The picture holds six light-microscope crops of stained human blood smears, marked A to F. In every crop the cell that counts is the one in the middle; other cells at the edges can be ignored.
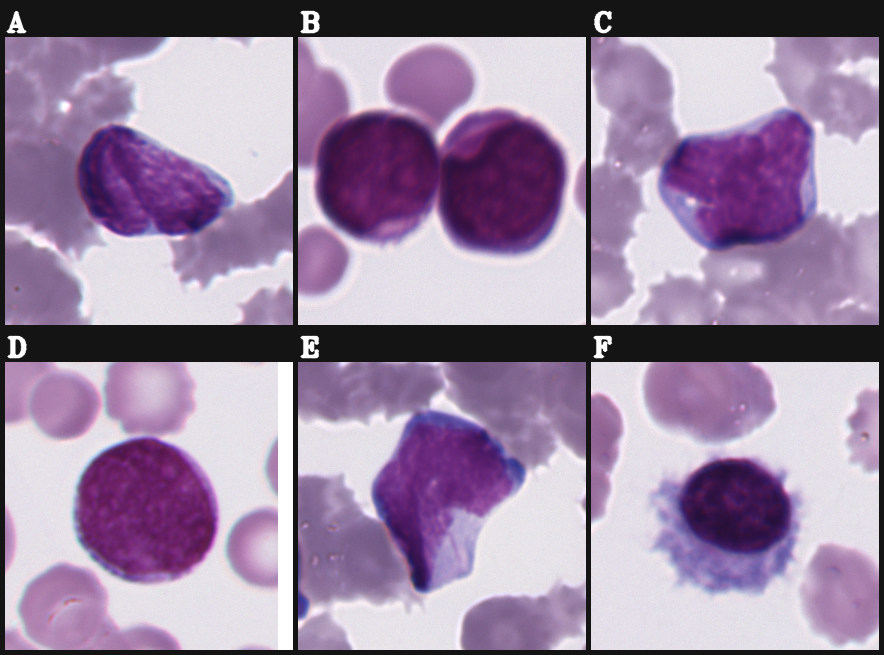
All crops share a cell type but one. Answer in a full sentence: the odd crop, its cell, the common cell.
Crop F differs from the others in showing a hairy cell; the rest all show myeloblasts.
